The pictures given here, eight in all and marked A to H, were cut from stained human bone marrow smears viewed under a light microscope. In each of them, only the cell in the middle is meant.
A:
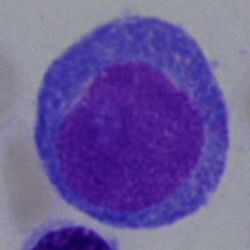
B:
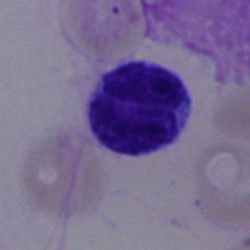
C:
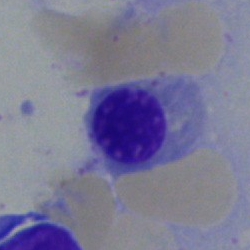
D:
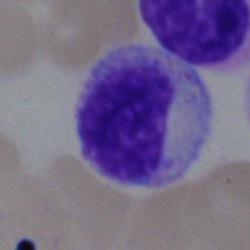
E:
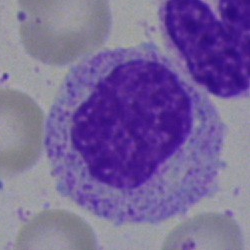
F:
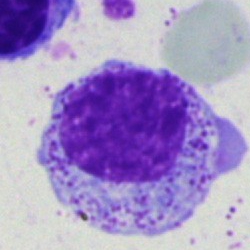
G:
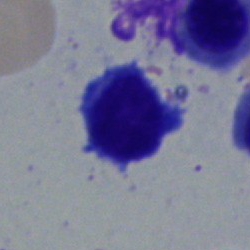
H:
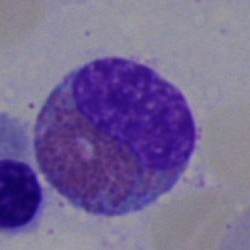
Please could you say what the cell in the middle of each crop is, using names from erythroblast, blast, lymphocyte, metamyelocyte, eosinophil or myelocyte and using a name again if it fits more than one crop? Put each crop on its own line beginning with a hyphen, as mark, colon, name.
- A: blast
- B: lymphocyte
- C: erythroblast
- D: myelocyte
- E: myelocyte
- F: myelocyte
- G: lymphocyte
- H: eosinophil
